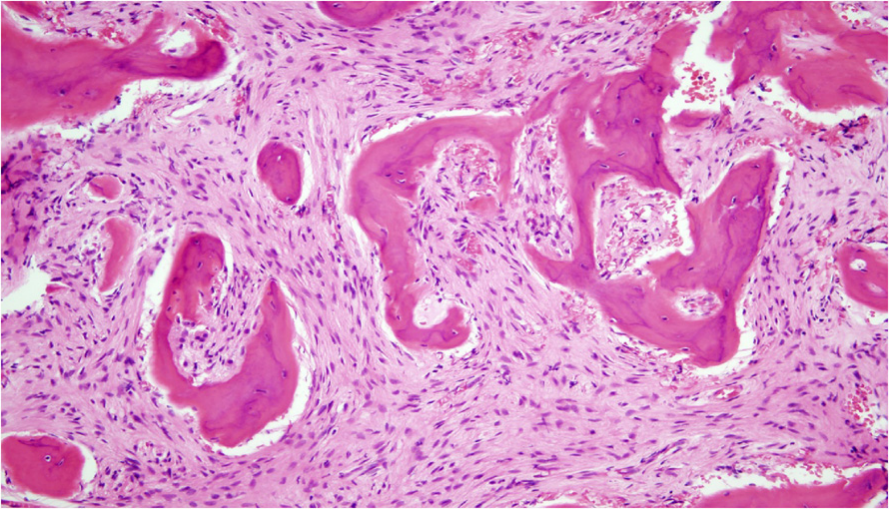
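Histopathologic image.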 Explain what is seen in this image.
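Curved, irregular trabeculae of immature bone stained deep pink lie scattered in a cellular fibrous stroma, with small cells enclosed in lacunae within the bone. Between them, spindle-shaped fibroblasts with elongated, fairly uniform purple nuclei run in streaming and swirling arrangements through a pale pink fibrillar matrix. No large multinucleated cells line the trabecular surfaces, and small collections of red blood cells lie in the spaces between the bone and the stroma.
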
